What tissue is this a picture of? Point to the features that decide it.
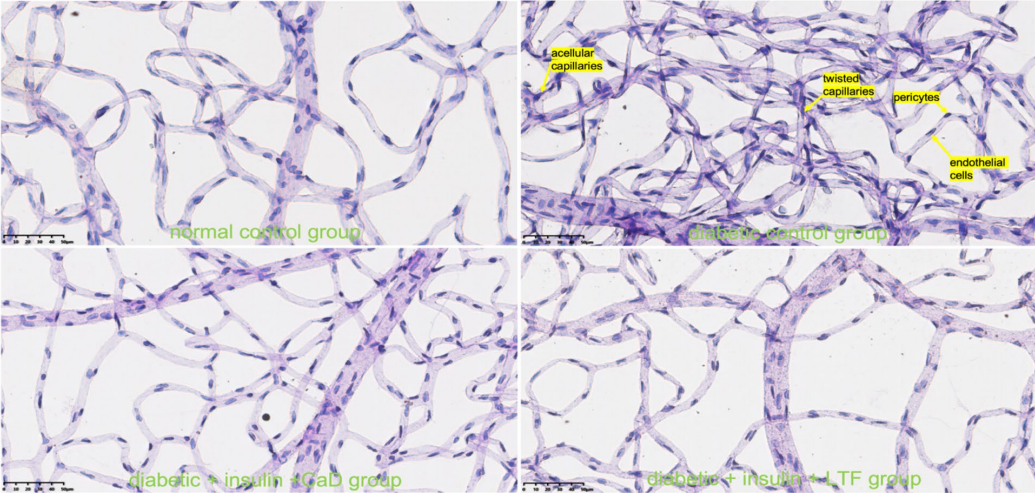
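Flat preparation of a branching network of narrow capillaries with a few wider vessels. Vessel walls carry elongated and rounded dark nuclei with no surrounding tissue.
Hence: retina.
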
